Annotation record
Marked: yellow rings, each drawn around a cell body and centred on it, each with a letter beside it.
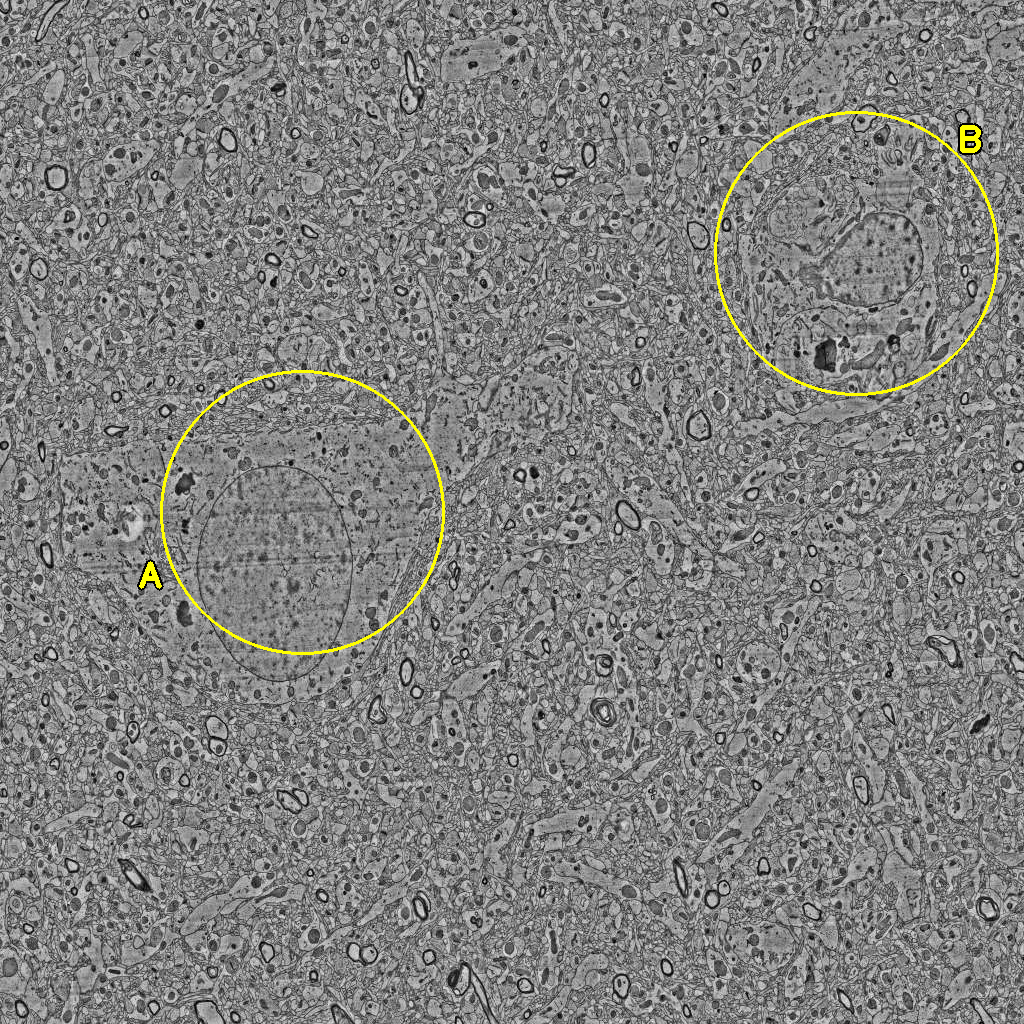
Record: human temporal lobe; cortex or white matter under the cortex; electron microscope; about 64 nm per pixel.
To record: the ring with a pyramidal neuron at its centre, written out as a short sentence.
The ring centred on it is ring A.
